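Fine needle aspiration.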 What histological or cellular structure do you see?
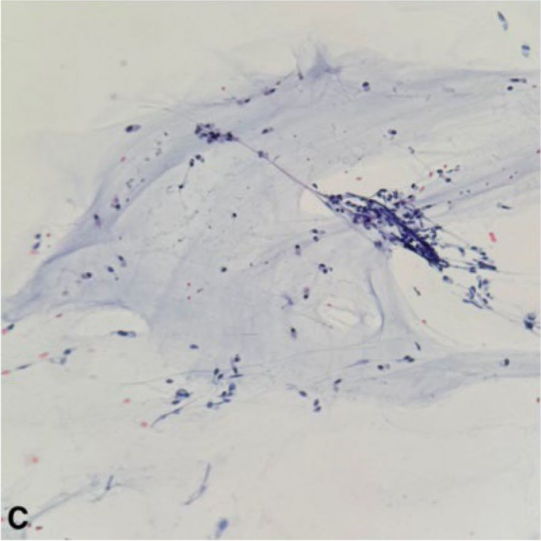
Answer: Mucin-like material.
